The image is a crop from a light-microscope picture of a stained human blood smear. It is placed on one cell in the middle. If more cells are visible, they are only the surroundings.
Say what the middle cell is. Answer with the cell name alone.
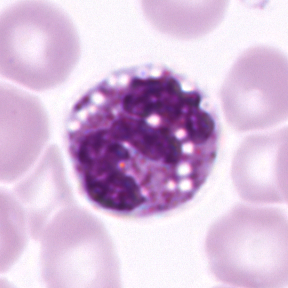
eosinophil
